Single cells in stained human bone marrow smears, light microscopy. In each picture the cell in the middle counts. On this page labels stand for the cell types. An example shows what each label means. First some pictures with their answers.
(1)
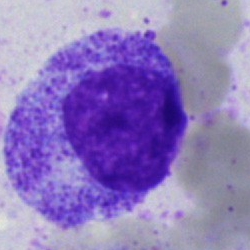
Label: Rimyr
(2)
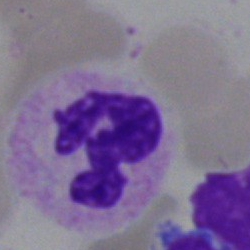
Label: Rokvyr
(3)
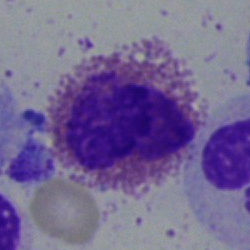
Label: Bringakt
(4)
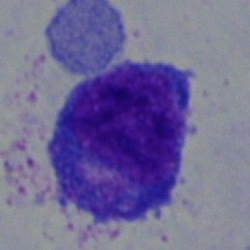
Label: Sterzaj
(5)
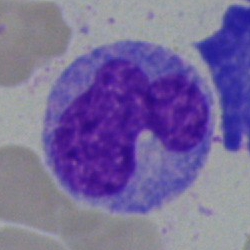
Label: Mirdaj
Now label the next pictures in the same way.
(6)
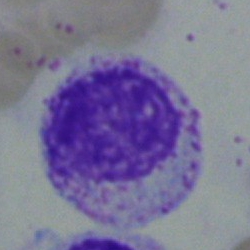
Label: Rimyr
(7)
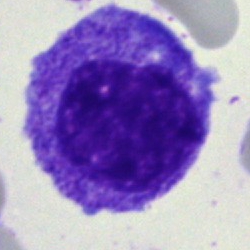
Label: Sterzaj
